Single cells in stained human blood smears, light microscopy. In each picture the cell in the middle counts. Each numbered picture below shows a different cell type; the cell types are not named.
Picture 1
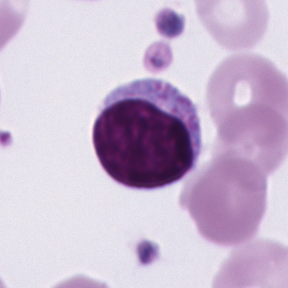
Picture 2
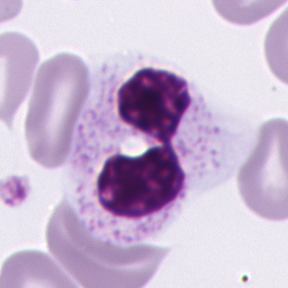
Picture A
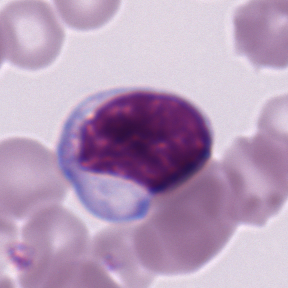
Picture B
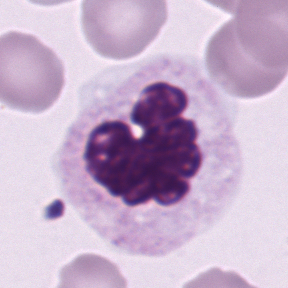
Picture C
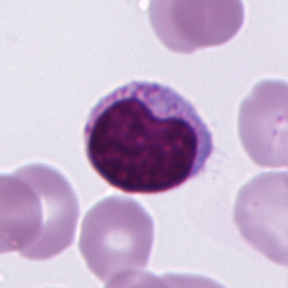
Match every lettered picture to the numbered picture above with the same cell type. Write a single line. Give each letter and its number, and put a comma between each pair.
A 1, B 2, C 1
